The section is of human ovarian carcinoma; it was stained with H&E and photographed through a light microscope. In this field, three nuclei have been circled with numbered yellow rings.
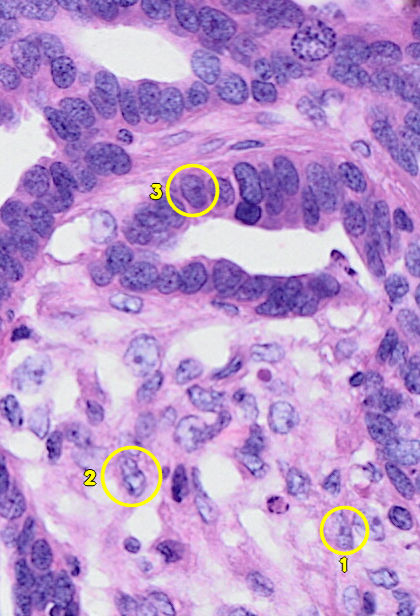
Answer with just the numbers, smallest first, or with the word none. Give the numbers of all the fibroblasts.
1, 2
